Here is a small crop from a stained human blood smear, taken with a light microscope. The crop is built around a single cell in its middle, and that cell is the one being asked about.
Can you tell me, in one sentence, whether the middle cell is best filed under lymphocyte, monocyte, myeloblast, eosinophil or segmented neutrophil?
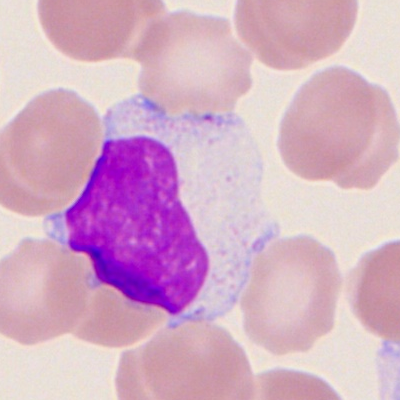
Centrally within this crop lies a lymphocyte.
